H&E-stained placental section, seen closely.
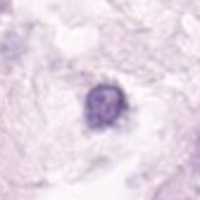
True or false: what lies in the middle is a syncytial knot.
False; it is a maternal decidual cell.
